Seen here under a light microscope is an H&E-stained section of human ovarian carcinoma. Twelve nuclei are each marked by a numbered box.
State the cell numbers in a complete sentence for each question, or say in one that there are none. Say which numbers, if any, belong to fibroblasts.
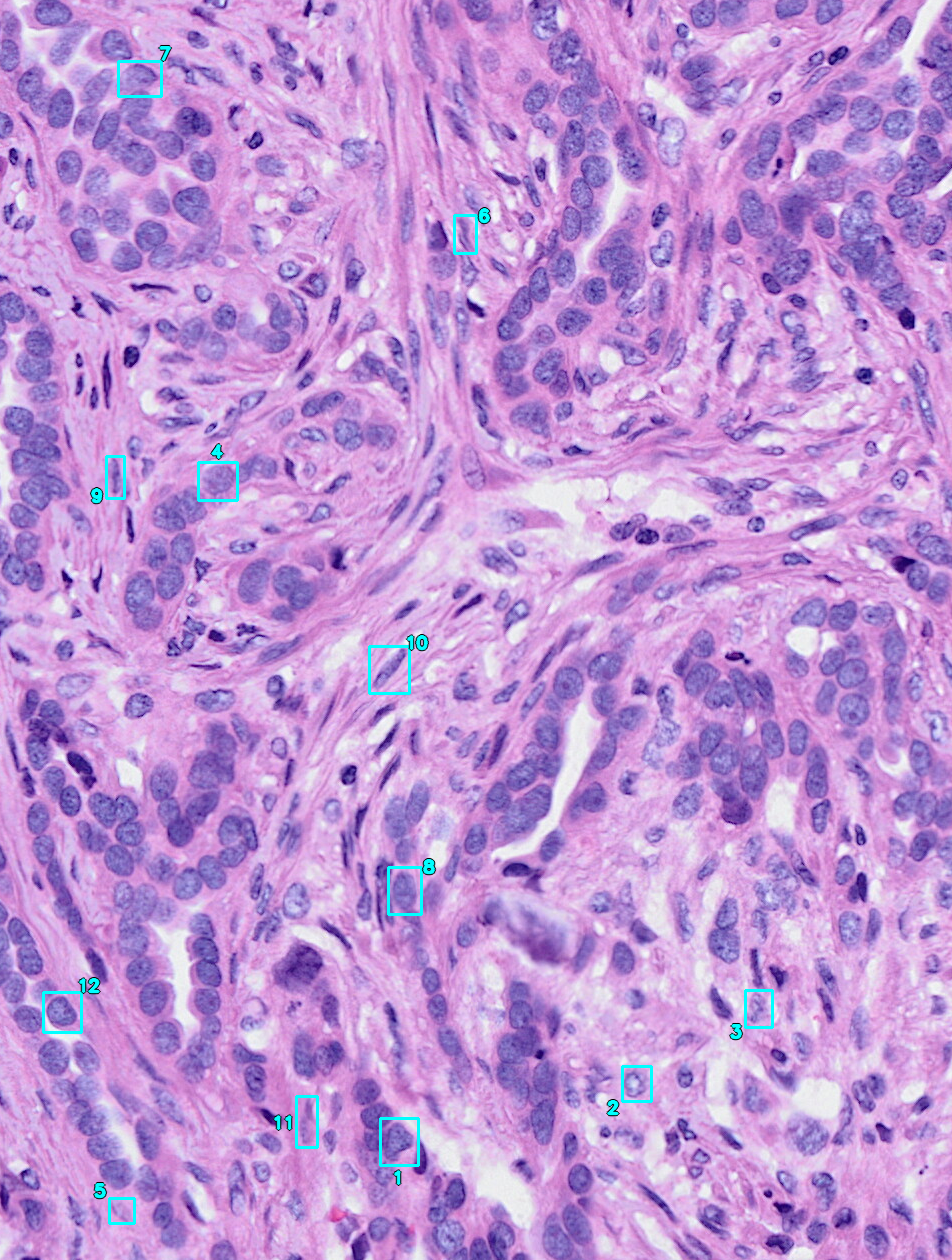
The numbers 2, 3, 5, 6, 9, 10 and 11 mark cells that are fibroblasts.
